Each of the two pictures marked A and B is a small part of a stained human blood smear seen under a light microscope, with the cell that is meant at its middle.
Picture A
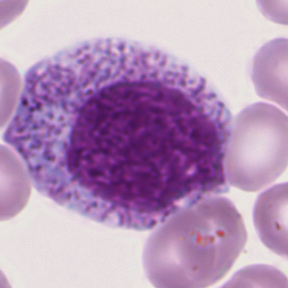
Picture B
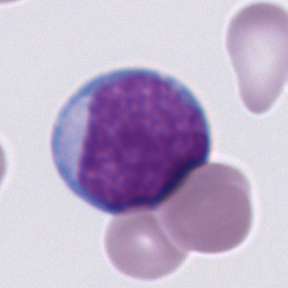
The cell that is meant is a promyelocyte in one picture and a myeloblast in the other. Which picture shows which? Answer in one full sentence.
Picture A shows a promyelocyte and picture B shows a myeloblast.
